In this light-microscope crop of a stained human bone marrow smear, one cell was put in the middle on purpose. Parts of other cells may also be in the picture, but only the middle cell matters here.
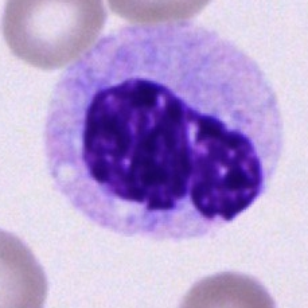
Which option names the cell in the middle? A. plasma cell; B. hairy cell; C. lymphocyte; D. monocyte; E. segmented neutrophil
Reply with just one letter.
E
